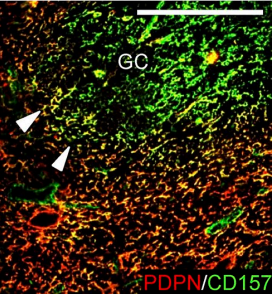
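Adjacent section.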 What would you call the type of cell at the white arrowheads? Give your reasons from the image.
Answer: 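The arrowheads point at thin interconnected strands forming a mesh-like network. The strands at the arrowheads appear yellow where red and green overlap.
Reticular cells.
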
